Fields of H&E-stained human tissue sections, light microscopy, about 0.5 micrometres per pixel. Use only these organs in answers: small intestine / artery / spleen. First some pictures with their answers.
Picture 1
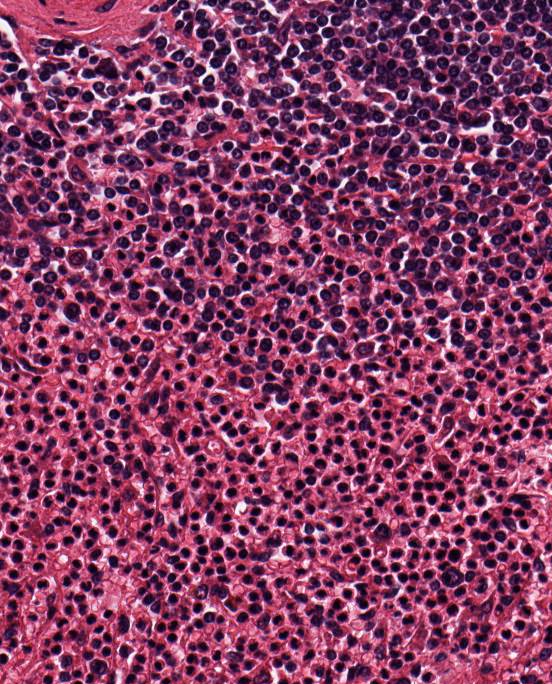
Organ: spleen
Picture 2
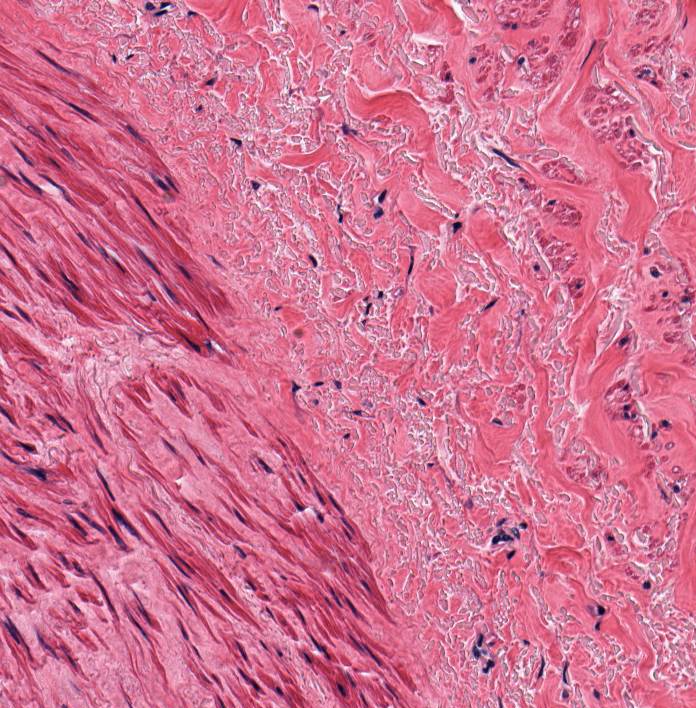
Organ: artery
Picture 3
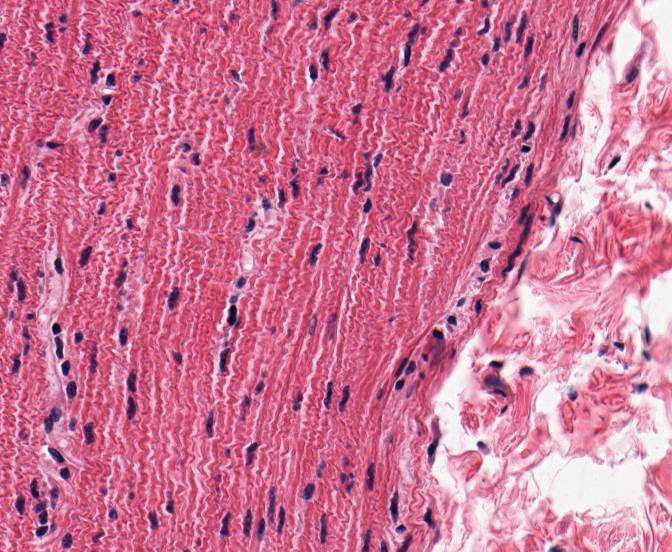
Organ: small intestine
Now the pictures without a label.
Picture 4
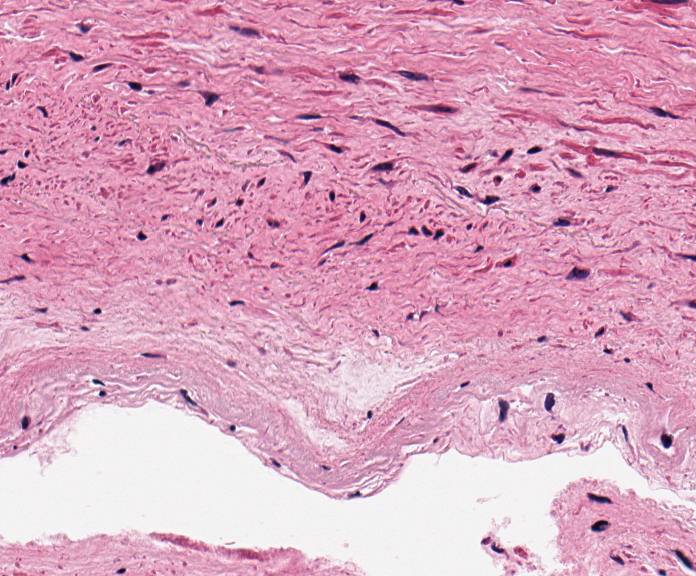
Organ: artery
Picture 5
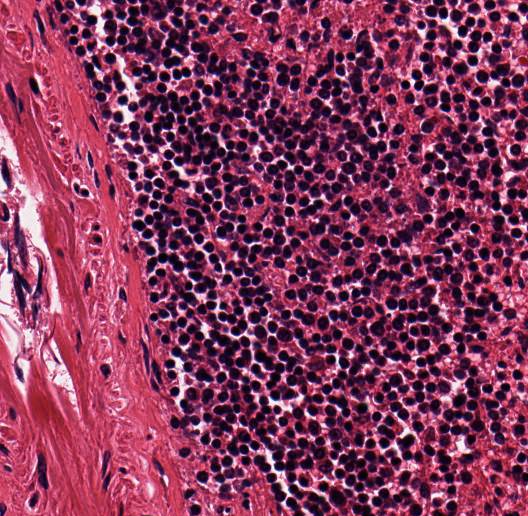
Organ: spleen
